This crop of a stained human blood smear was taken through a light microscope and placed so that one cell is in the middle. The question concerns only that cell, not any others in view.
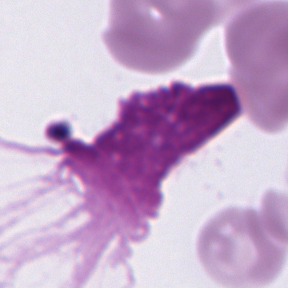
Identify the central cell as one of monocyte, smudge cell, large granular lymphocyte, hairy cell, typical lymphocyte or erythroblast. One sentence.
The crop's centre is taken up by a smudge cell.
